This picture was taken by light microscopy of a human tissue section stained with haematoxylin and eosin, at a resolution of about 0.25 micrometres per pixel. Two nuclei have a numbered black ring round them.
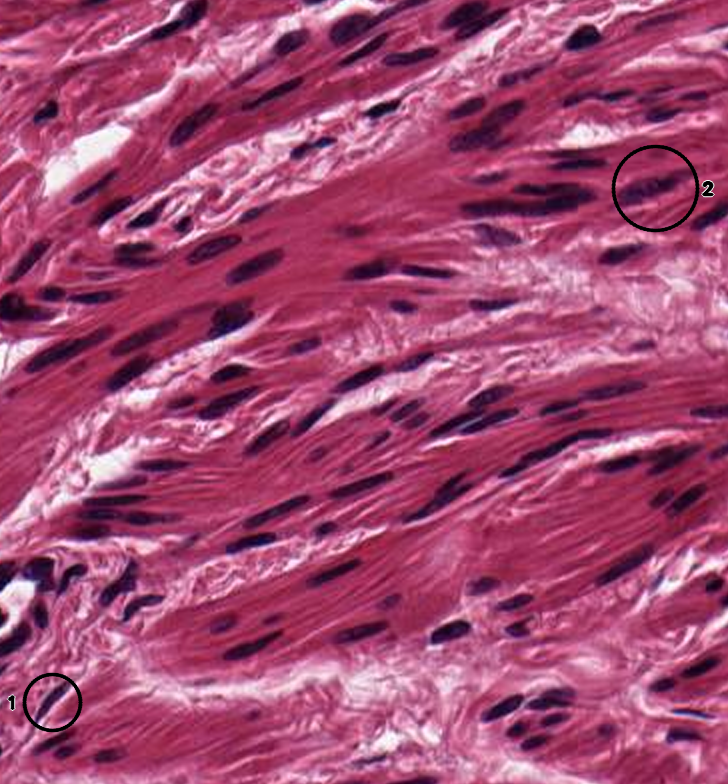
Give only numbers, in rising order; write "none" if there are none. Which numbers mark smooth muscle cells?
2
